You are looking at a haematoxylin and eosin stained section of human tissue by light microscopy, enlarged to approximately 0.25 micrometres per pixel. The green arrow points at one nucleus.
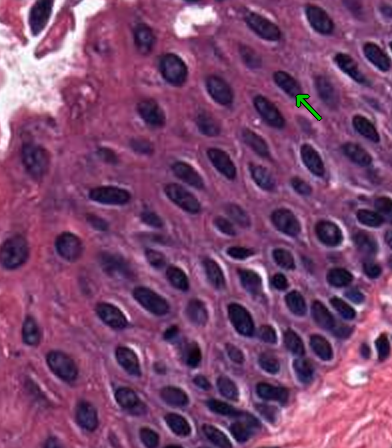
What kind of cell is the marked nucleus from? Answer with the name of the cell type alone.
squamous epithelial cell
